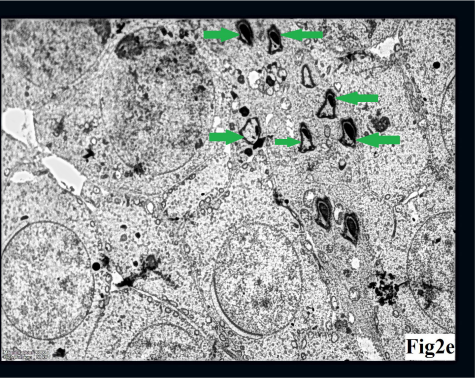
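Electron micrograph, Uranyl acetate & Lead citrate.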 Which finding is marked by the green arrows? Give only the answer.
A: Abnormal forms of sperms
